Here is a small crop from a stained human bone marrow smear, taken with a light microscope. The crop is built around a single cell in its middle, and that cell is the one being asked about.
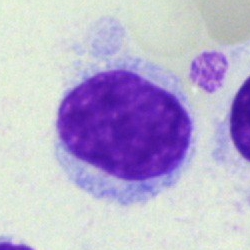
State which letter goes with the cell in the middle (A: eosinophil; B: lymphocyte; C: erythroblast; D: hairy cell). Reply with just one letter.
D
